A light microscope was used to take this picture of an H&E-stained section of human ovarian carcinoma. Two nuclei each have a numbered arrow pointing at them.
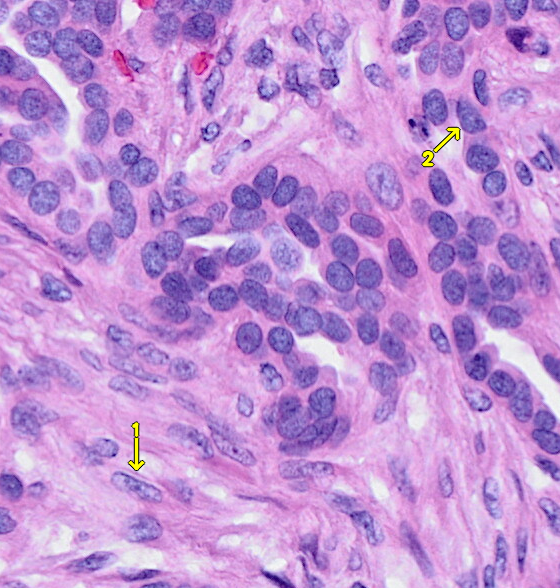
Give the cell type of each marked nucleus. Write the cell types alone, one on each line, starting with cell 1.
fibroblast
carcinoma cell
